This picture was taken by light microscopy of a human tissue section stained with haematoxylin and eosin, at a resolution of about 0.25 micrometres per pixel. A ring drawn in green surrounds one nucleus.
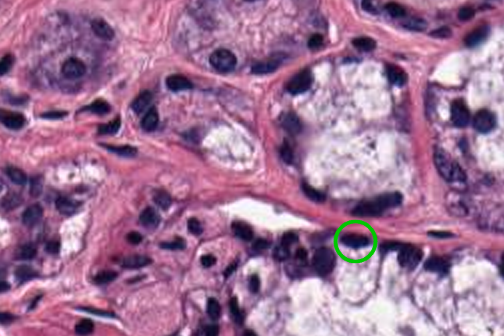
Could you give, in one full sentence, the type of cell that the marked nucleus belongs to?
The nucleus that the mark indicates belongs to a mucous gland cell.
